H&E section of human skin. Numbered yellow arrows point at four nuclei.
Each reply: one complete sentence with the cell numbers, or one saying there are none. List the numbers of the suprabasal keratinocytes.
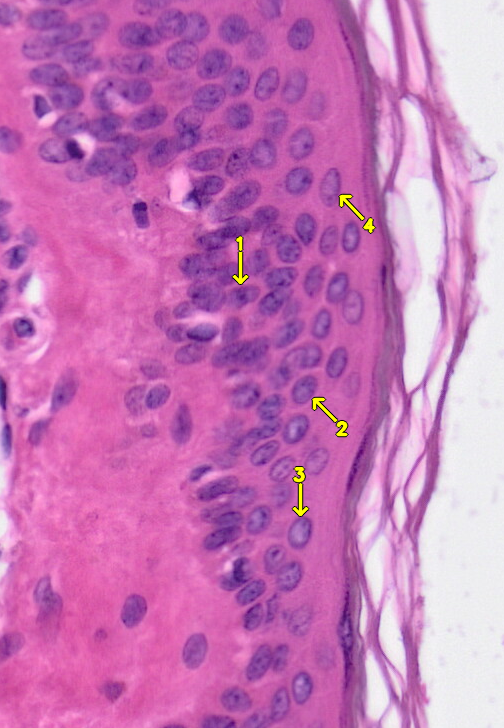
In this section, the cells numbered 2, 3 and 4 are suprabasal keratinocytes.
